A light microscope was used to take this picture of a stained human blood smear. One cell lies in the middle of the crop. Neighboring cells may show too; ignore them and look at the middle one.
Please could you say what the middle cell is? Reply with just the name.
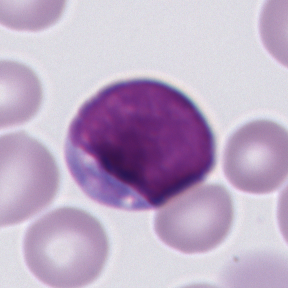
large granular lymphocyte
